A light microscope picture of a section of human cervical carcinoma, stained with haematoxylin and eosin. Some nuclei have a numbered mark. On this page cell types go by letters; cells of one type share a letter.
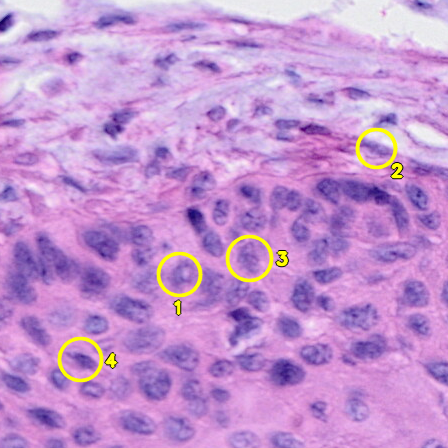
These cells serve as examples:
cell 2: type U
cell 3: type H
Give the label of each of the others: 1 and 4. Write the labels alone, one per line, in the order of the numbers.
type H
type H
